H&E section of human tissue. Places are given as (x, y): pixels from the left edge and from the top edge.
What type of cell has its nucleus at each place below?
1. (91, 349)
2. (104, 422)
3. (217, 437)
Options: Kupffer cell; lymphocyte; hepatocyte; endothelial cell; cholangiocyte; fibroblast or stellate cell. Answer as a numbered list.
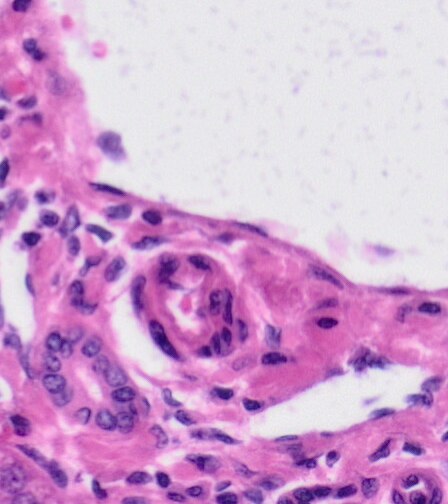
1. cholangiocyte
2. cholangiocyte
3. fibroblast or stellate cell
